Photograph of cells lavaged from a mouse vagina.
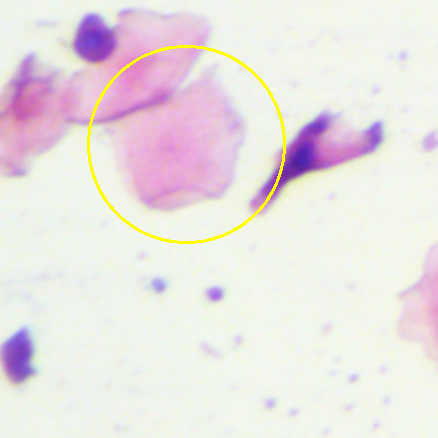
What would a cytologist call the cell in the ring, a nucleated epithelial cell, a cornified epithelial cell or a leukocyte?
A cytologist would call it a cornified epithelial cell.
